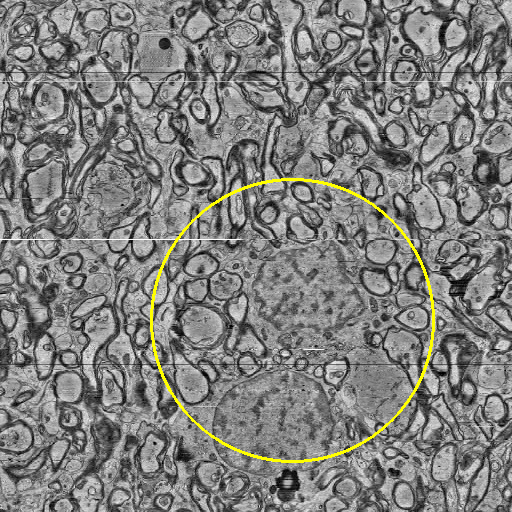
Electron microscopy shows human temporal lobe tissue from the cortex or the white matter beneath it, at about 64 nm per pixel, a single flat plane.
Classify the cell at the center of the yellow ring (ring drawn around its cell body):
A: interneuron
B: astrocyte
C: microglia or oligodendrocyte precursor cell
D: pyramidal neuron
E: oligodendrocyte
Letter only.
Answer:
E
